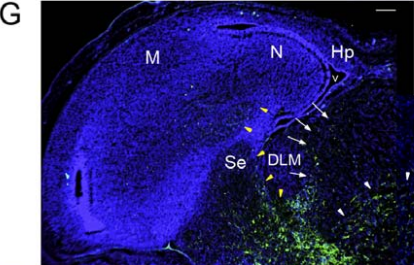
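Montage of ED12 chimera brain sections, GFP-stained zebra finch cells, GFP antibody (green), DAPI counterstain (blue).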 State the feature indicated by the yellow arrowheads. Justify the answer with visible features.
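Thalamic-forebrain tract. The arrowheads run along a line of green fibers heading from the green cell cluster toward the forebrain.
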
